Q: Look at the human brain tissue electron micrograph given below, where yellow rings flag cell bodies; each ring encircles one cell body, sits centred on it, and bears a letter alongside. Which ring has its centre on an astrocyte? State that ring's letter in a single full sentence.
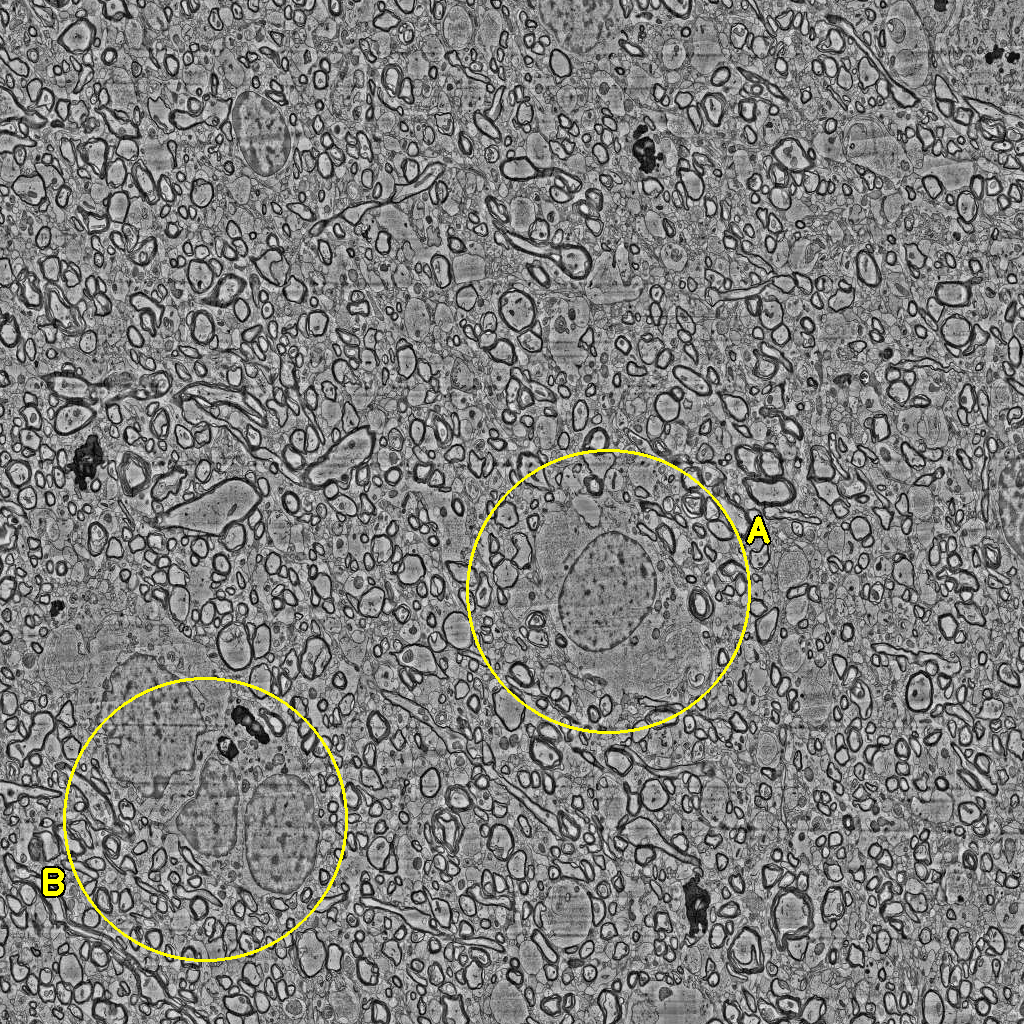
In the picture, the cell of that kind sits at the centre of ring A.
